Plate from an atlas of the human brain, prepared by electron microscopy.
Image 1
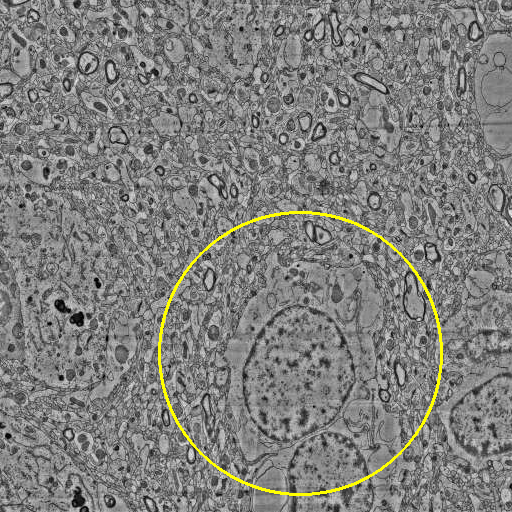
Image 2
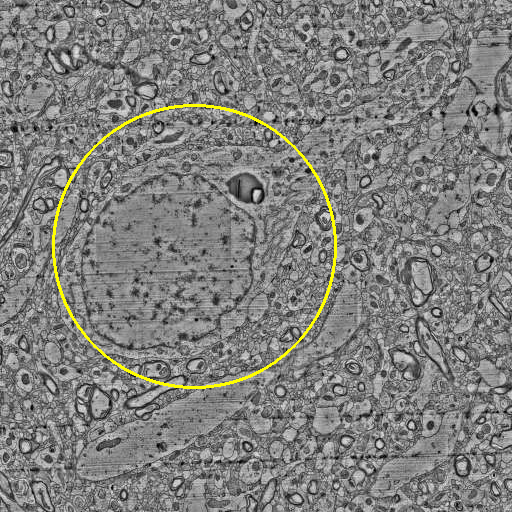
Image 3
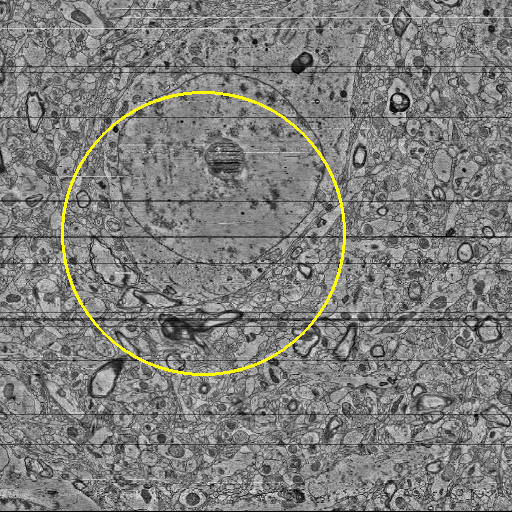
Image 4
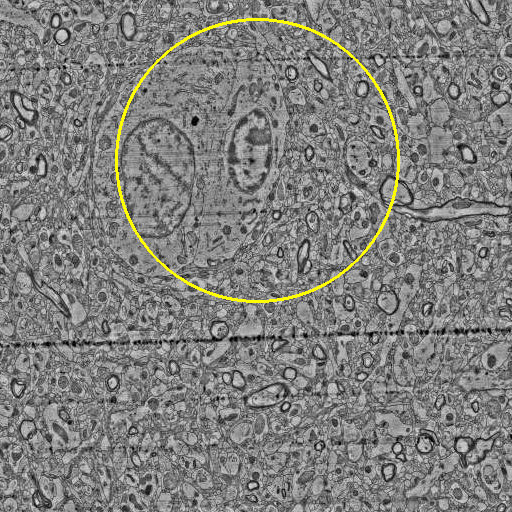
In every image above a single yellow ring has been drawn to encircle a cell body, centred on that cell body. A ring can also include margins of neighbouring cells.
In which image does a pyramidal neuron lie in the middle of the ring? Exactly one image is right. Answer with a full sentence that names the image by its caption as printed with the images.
Image 3 holds the requested cell at the very centre of its ring.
